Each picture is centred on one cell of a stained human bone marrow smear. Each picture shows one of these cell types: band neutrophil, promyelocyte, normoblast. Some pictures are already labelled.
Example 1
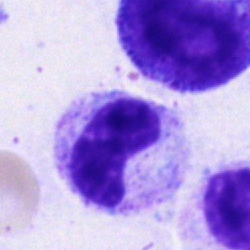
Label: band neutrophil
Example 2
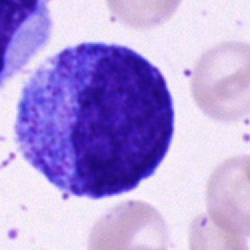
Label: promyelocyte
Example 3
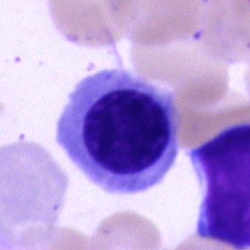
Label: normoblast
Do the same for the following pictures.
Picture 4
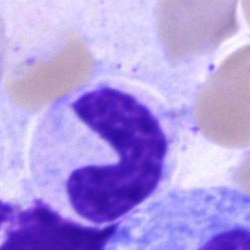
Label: band neutrophil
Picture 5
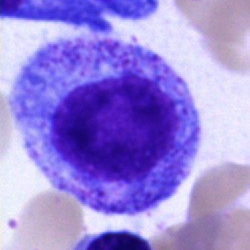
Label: promyelocyte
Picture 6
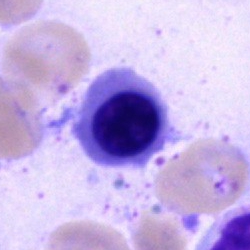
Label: normoblast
